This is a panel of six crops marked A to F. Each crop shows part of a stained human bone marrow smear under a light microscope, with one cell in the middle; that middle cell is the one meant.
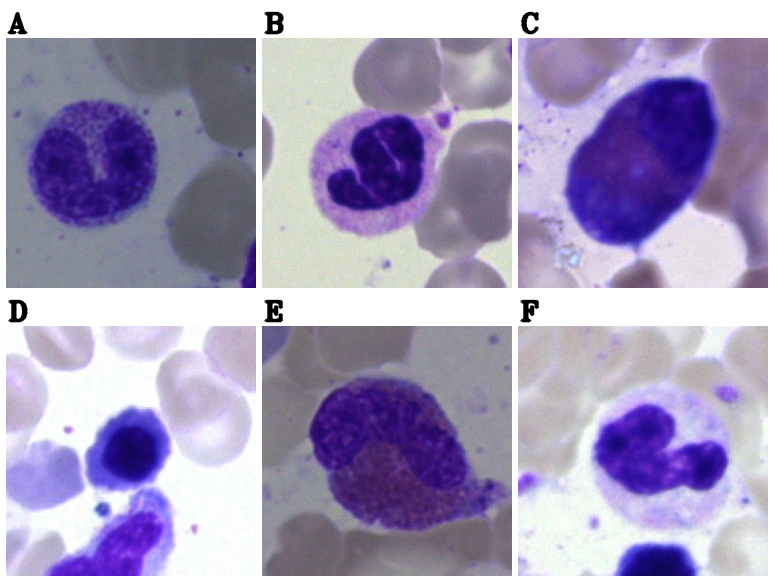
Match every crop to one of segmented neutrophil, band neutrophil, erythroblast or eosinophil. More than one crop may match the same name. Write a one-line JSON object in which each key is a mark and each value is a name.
{"A": "band neutrophil", "B": "segmented neutrophil", "C": "eosinophil", "D": "erythroblast", "E": "eosinophil", "F": "band neutrophil"}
